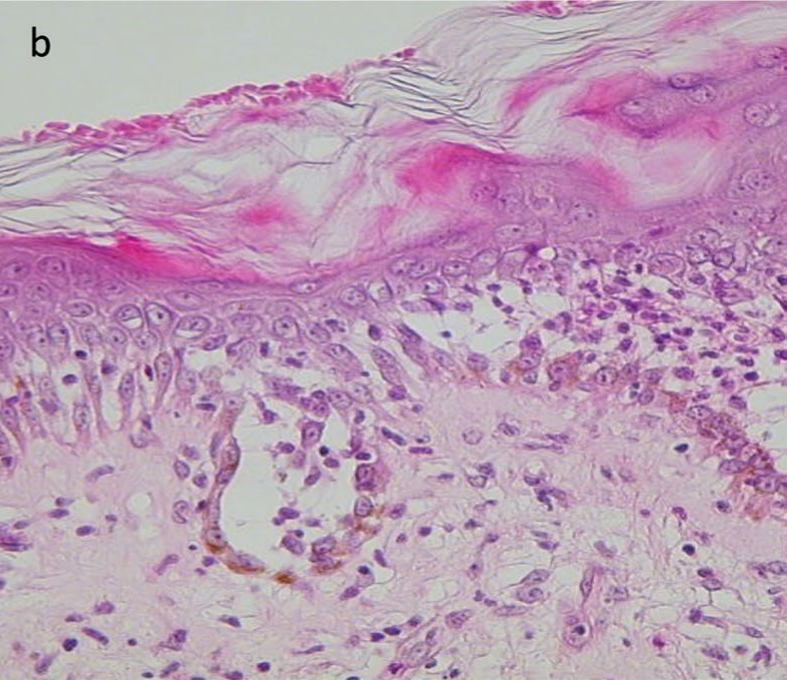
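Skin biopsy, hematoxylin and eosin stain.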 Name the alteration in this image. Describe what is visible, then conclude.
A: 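Suprabasal epidermal acantholysis. Above the bottom row of the epidermis the cells have come apart, leaving loose clefts. Rounded, separated cells float in the spaces above the basal row. A single row of basal cells stays attached along the dermal papillae.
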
